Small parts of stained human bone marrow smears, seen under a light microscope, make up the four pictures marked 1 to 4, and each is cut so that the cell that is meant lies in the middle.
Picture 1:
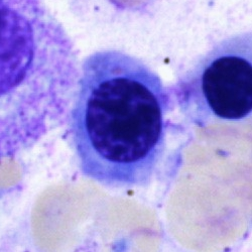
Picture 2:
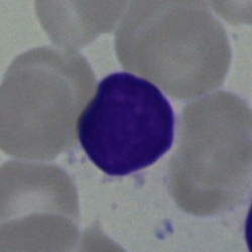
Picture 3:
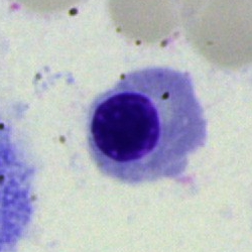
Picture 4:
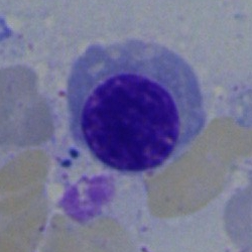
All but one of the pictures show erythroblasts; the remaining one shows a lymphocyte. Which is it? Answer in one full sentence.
Picture 2 shows the lymphocyte.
